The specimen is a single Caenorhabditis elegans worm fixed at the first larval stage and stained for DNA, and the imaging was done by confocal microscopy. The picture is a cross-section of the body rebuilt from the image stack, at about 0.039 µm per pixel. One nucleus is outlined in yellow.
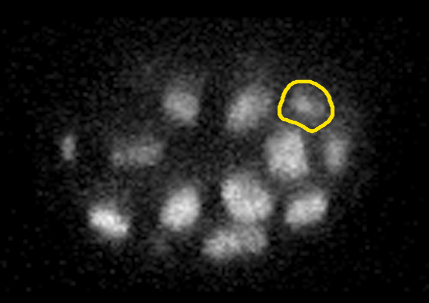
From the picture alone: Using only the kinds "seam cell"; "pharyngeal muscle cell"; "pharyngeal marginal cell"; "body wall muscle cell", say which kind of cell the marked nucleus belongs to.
body wall muscle cell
